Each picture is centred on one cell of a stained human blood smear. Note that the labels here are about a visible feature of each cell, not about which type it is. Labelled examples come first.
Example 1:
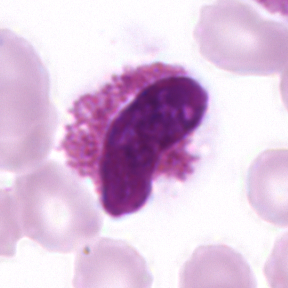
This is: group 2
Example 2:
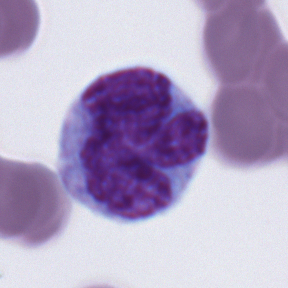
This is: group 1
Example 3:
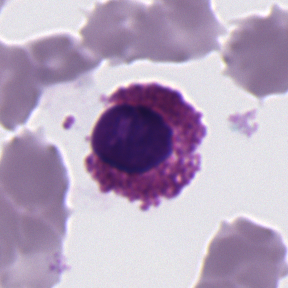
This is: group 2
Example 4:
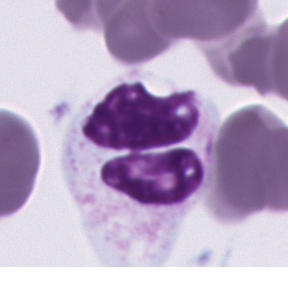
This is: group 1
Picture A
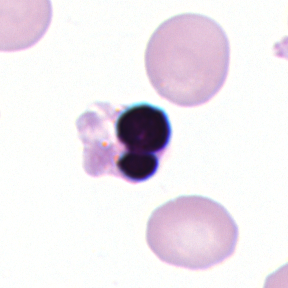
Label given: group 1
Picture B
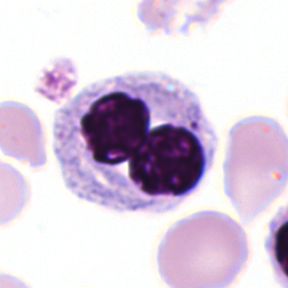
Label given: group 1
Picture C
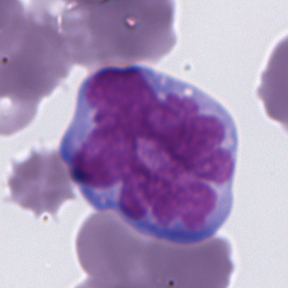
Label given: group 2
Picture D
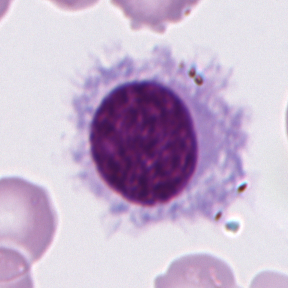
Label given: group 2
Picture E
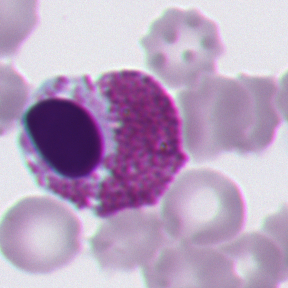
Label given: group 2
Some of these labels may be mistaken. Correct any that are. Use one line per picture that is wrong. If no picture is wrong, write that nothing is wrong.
C should be group 1, not group 2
